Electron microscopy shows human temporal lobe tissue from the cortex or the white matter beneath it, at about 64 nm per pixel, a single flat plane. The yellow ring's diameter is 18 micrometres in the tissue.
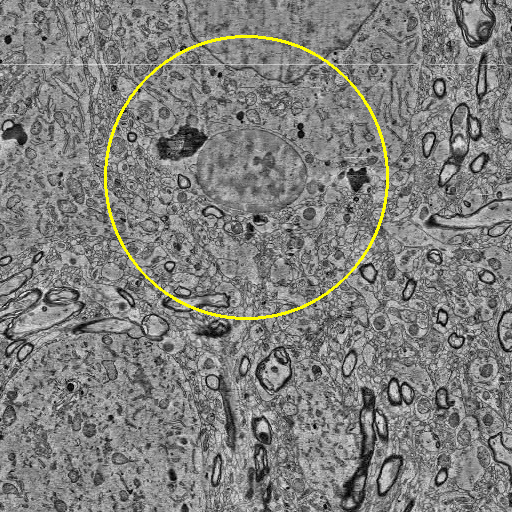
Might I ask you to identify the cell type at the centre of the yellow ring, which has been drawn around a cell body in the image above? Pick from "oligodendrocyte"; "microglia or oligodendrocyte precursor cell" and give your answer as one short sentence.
The centre of the ring falls on an oligodendrocyte.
